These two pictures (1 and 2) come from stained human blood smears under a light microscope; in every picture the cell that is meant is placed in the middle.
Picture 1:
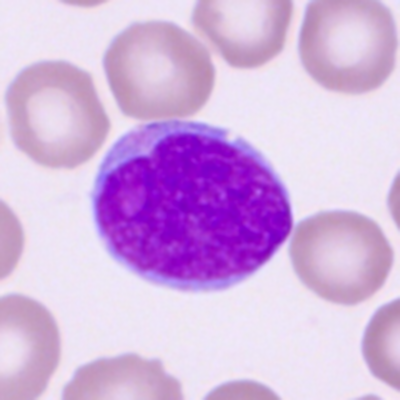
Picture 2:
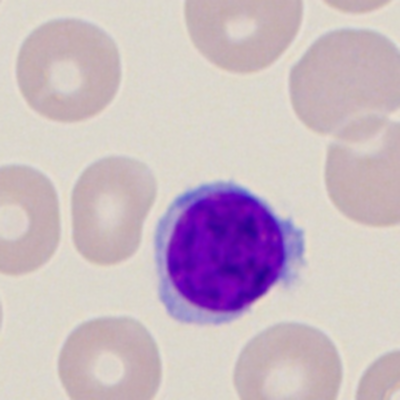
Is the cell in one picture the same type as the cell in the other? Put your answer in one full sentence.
No, the types are not the same, since picture 1 shows a myeloblast and picture 2 a lymphocyte.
